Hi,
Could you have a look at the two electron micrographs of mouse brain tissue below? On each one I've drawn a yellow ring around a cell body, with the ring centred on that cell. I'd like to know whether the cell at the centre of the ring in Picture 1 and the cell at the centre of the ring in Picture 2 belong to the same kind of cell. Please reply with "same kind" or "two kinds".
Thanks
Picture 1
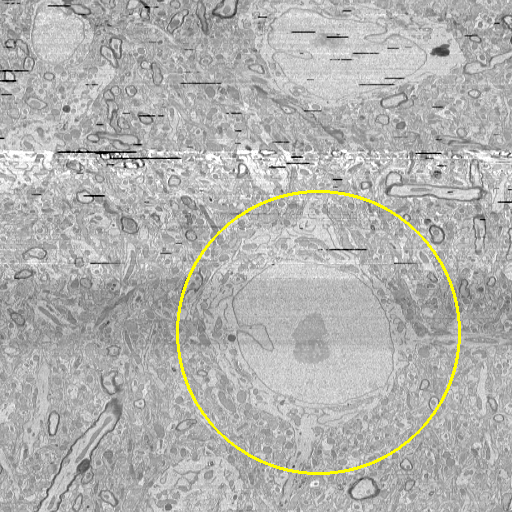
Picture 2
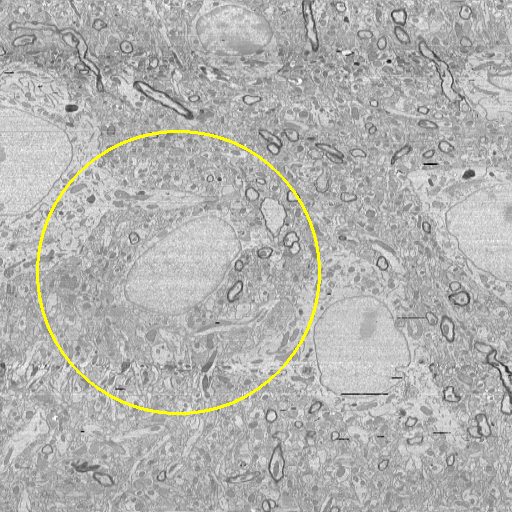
two kinds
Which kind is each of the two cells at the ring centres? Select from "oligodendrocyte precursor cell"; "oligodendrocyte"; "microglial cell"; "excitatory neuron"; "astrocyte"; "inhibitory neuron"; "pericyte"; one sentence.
The cell at the centre of the ring is an excitatory neuron in the first picture and an astrocyte in the second.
